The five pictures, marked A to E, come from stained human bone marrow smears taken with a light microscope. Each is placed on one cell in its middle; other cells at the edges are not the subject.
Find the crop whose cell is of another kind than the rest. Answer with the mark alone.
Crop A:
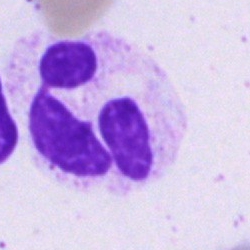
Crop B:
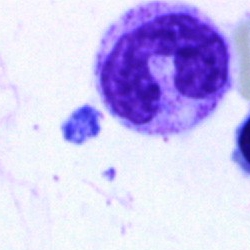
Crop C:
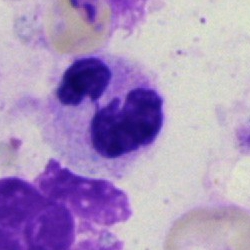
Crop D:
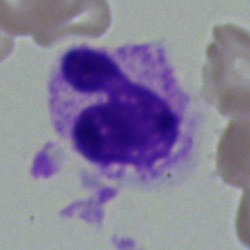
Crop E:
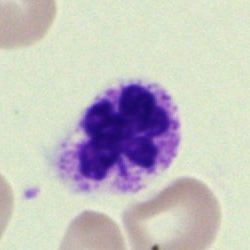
B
